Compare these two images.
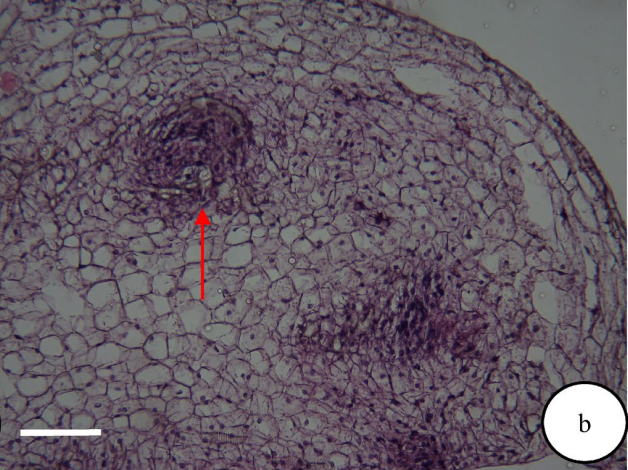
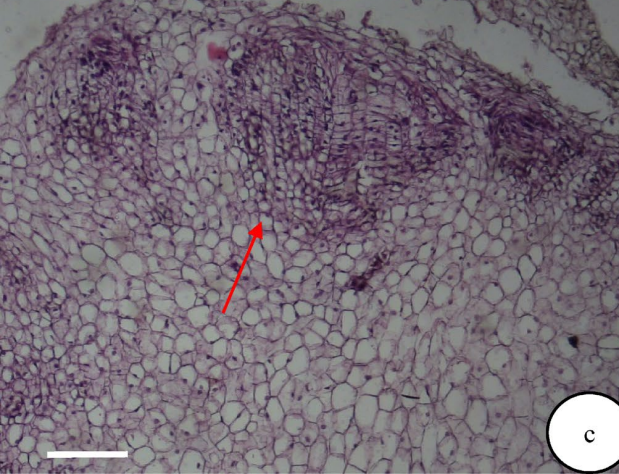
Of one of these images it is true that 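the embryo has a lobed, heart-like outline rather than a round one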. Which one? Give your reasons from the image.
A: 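The second image. First image: the marked dense body is a rounded, compact cluster.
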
